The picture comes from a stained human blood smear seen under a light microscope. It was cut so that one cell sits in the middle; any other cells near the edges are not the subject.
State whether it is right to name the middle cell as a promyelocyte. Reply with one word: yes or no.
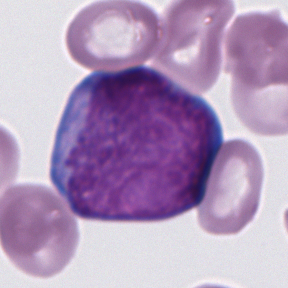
no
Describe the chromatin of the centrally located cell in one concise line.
There is no coarse clumping; the chromatin stays fine throughout.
